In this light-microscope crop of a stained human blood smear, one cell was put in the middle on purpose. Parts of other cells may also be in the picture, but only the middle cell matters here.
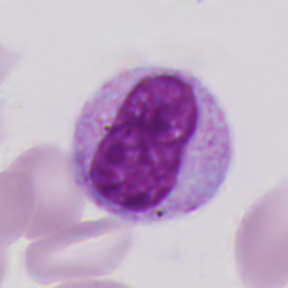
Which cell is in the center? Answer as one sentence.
The cell occupying the middle of the crop is a metamyelocyte.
